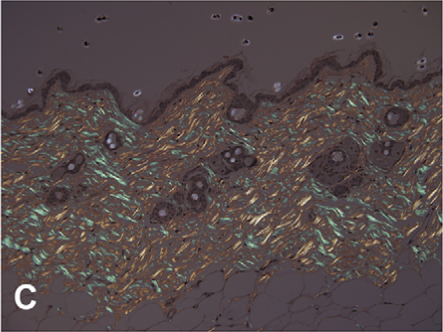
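Skin is seen on a dark background under polarized light. The epidermis along the top and the round hair follicle profiles in the upper dermis stay dark grey. Between them the dermis is crowded with short, bright streaks and patches, some apple-green and others yellow-orange, lying in many directions through its whole depth. At the bottom the outlines of large fat cells of the subcutis appear faintly, with no bright streaks.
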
